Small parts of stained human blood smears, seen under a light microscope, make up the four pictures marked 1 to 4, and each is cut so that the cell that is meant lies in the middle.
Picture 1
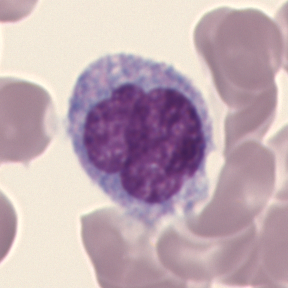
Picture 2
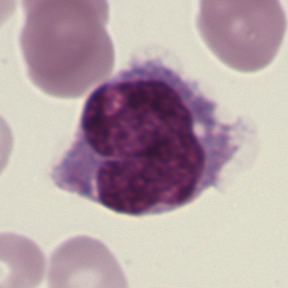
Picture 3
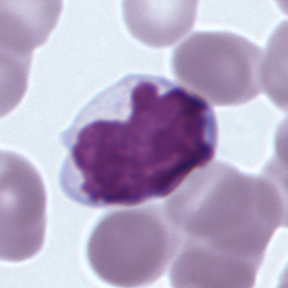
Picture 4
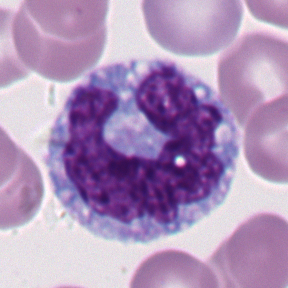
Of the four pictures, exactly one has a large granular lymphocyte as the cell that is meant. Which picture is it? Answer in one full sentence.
The picture with the large granular lymphocyte is 3.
